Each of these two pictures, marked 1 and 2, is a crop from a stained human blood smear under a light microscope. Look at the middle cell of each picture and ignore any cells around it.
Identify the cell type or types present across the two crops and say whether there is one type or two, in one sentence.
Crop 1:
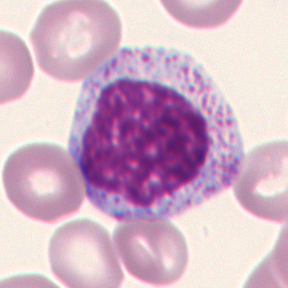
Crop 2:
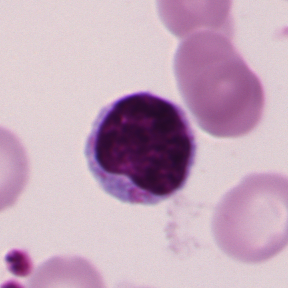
No, the cell in crop 1 is a myelocyte and the one in crop 2 is a large granular lymphocyte.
